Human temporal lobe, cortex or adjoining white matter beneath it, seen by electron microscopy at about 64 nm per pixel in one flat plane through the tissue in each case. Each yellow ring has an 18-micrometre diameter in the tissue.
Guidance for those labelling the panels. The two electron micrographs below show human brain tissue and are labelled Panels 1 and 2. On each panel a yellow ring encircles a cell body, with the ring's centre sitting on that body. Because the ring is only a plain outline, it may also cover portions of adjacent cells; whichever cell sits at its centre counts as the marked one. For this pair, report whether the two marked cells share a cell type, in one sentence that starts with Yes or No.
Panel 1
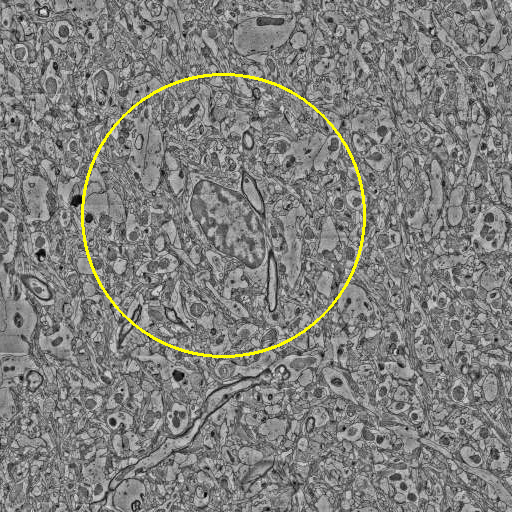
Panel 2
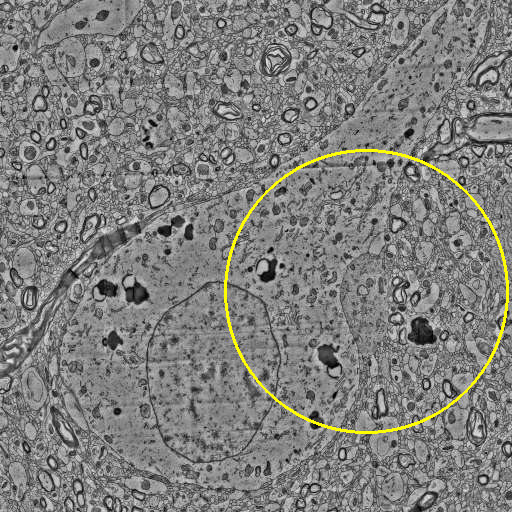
No, in Panel 1 and Panel 2 the marked cells at the ring centres are of two types.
